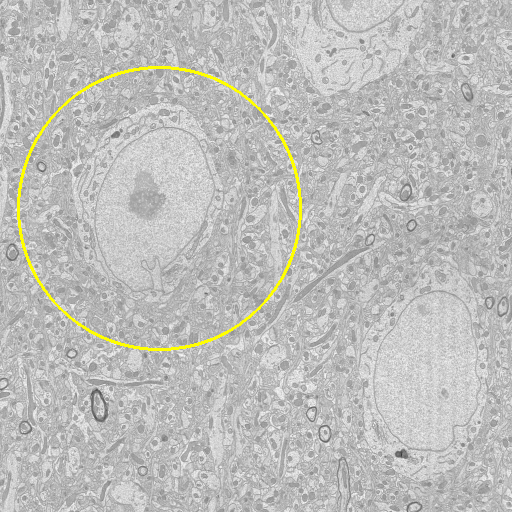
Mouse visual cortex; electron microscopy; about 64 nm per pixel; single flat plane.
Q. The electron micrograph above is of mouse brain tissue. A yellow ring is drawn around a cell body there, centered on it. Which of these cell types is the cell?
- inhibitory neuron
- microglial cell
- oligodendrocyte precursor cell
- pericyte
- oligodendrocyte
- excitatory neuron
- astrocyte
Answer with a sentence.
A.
The cell under the ring's center is an inhibitory neuron.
